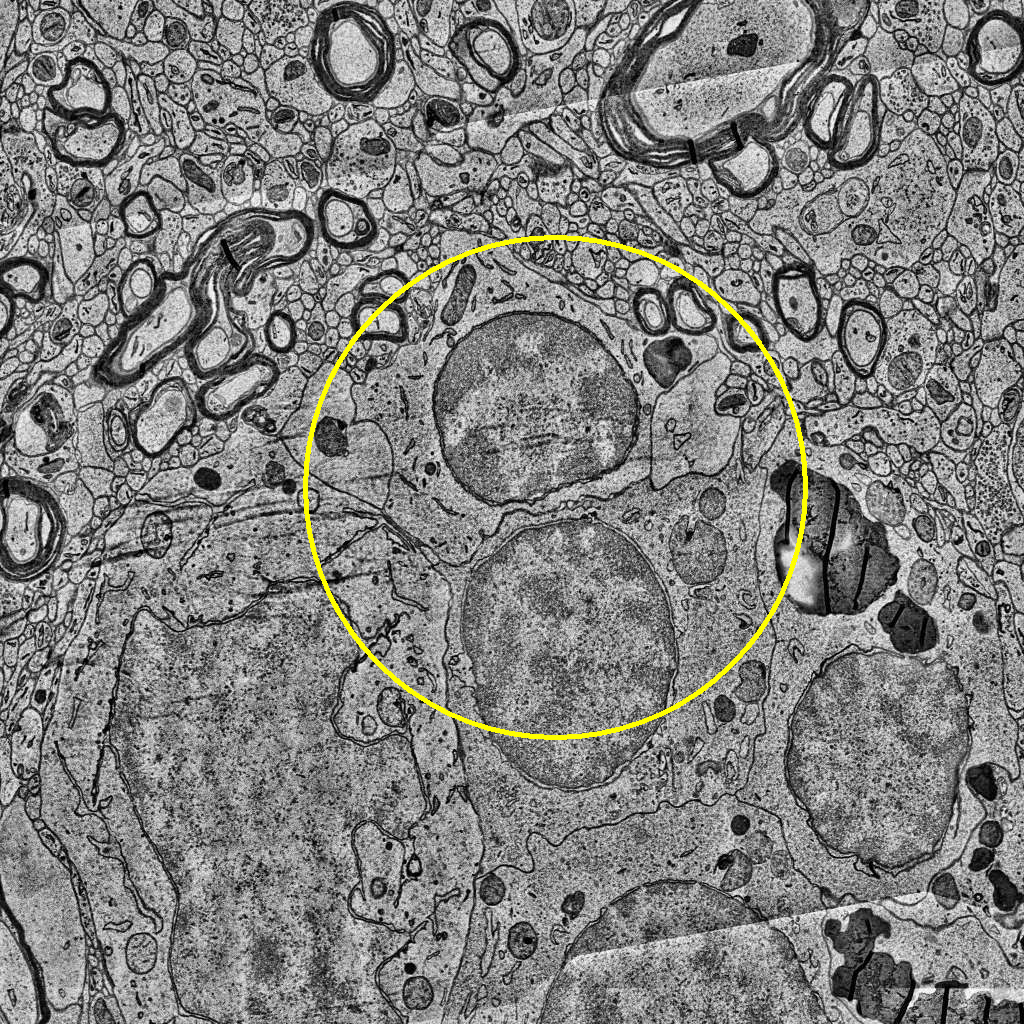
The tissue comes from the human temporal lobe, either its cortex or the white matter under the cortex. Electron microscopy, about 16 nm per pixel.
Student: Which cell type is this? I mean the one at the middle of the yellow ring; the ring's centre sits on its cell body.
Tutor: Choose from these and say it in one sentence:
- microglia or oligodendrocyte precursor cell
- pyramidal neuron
The cell at the ring's centre is a microglial cell or oligodendrocyte precursor cell.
